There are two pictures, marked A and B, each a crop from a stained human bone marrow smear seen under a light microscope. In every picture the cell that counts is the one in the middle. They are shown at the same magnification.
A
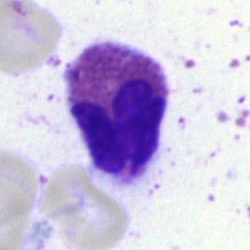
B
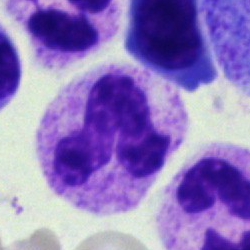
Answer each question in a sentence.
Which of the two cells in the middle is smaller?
Crop A holds the smaller cell, since the cell in crop B covers about 1.5 times as much area.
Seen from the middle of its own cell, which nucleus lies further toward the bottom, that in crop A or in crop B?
The nucleus in crop A lies further toward the bottom of its cell.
